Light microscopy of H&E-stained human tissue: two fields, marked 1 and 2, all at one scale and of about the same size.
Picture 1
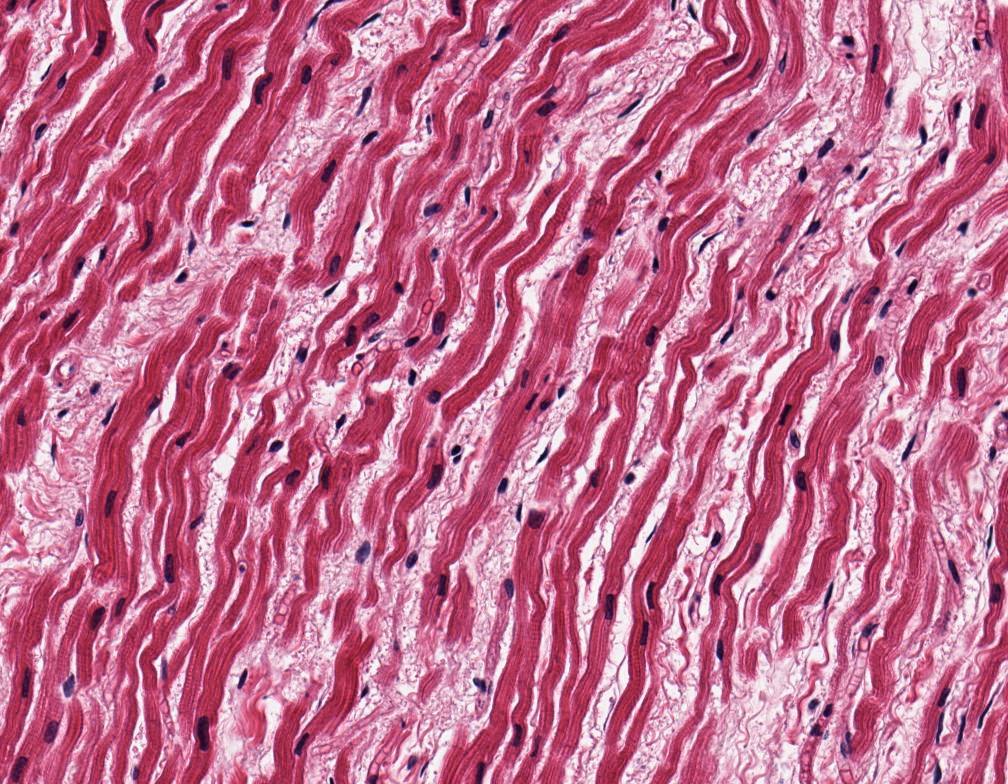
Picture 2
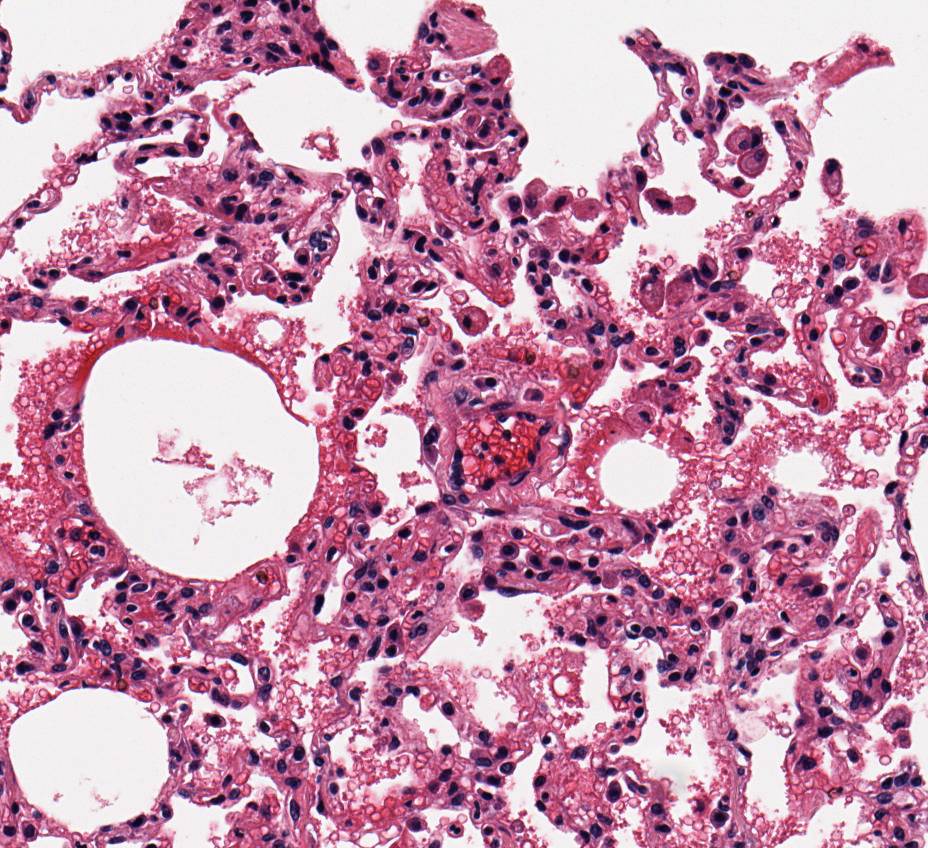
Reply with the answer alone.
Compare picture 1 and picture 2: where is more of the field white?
2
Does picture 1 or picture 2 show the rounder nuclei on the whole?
2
